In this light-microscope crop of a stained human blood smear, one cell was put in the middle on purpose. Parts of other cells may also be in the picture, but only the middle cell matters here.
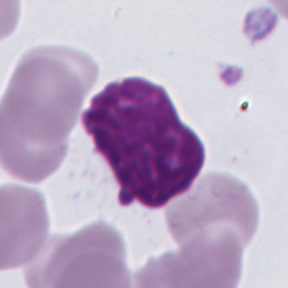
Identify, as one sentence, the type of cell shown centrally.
Classification of the middle cell gives a smudge cell.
